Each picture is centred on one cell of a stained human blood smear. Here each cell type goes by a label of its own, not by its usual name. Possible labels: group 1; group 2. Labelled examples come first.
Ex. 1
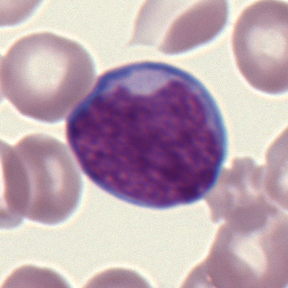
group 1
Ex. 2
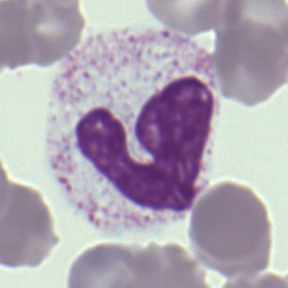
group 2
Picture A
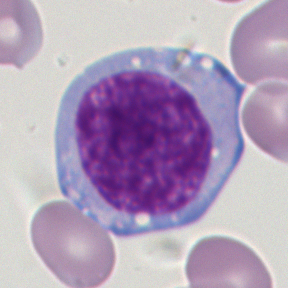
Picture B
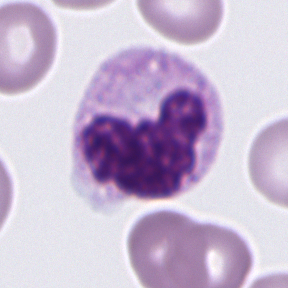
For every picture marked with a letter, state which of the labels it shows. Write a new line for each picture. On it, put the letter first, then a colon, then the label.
A: group 1
B: group 2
